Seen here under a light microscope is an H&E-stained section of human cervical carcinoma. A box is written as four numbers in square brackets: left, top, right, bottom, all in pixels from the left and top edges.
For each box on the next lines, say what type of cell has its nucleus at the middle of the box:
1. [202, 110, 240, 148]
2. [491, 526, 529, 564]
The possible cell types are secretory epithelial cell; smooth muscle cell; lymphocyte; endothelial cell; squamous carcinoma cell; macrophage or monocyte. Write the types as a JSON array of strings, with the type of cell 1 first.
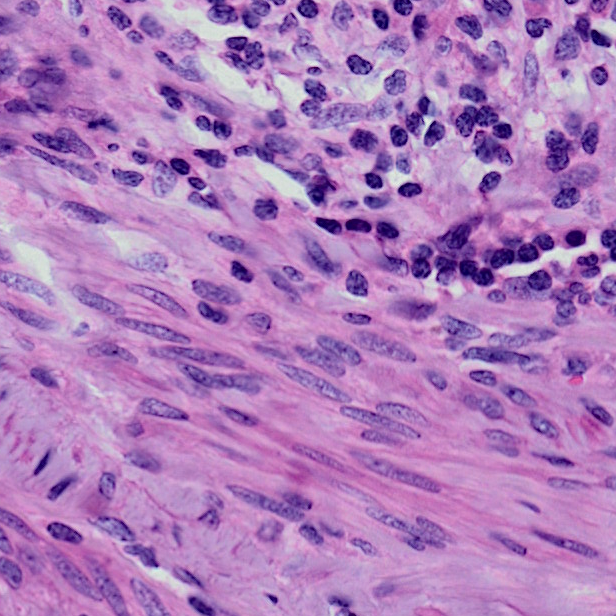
["lymphocyte", "smooth muscle cell"]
